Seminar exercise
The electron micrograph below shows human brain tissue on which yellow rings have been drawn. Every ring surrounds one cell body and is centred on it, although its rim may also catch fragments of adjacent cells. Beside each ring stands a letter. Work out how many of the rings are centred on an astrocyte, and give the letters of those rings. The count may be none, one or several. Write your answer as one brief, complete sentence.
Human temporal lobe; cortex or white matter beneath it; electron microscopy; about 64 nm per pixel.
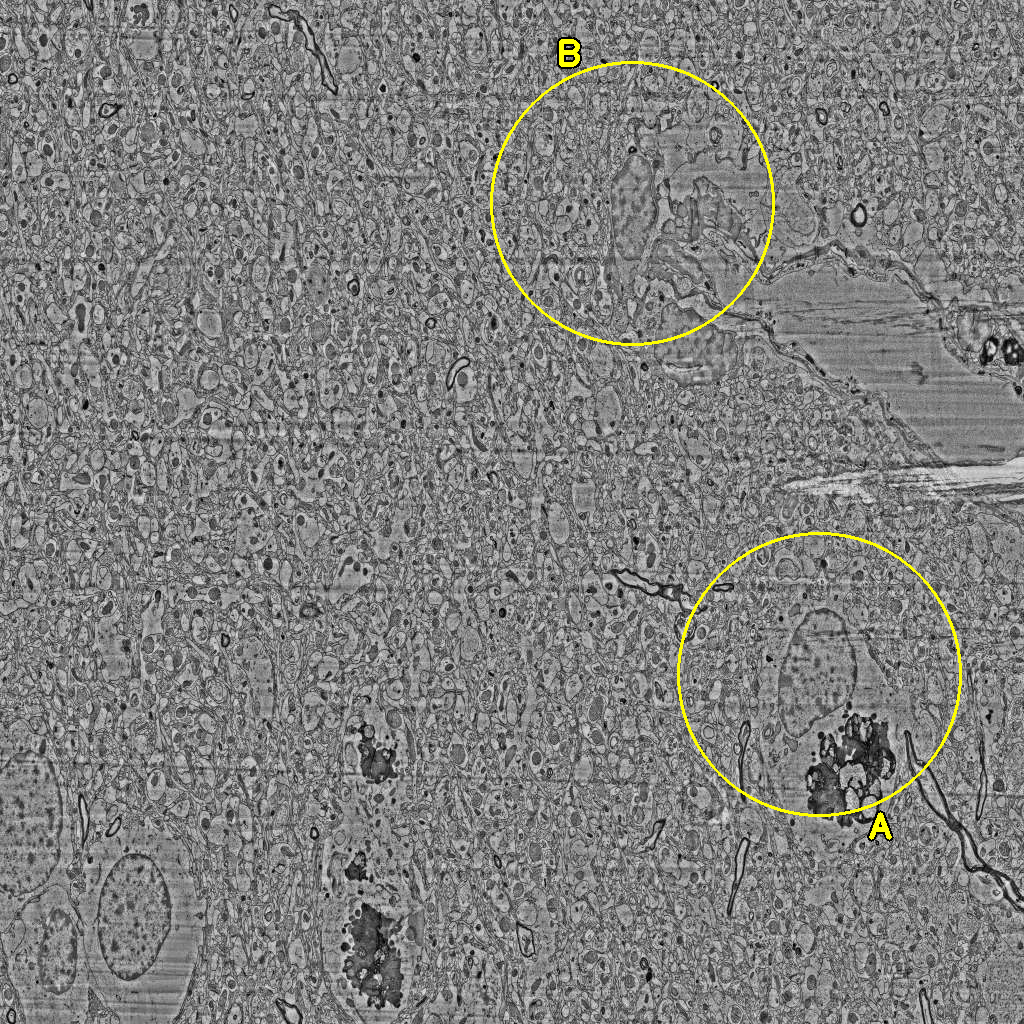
Ring A is the single ring in the micrograph centred on an astrocyte.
